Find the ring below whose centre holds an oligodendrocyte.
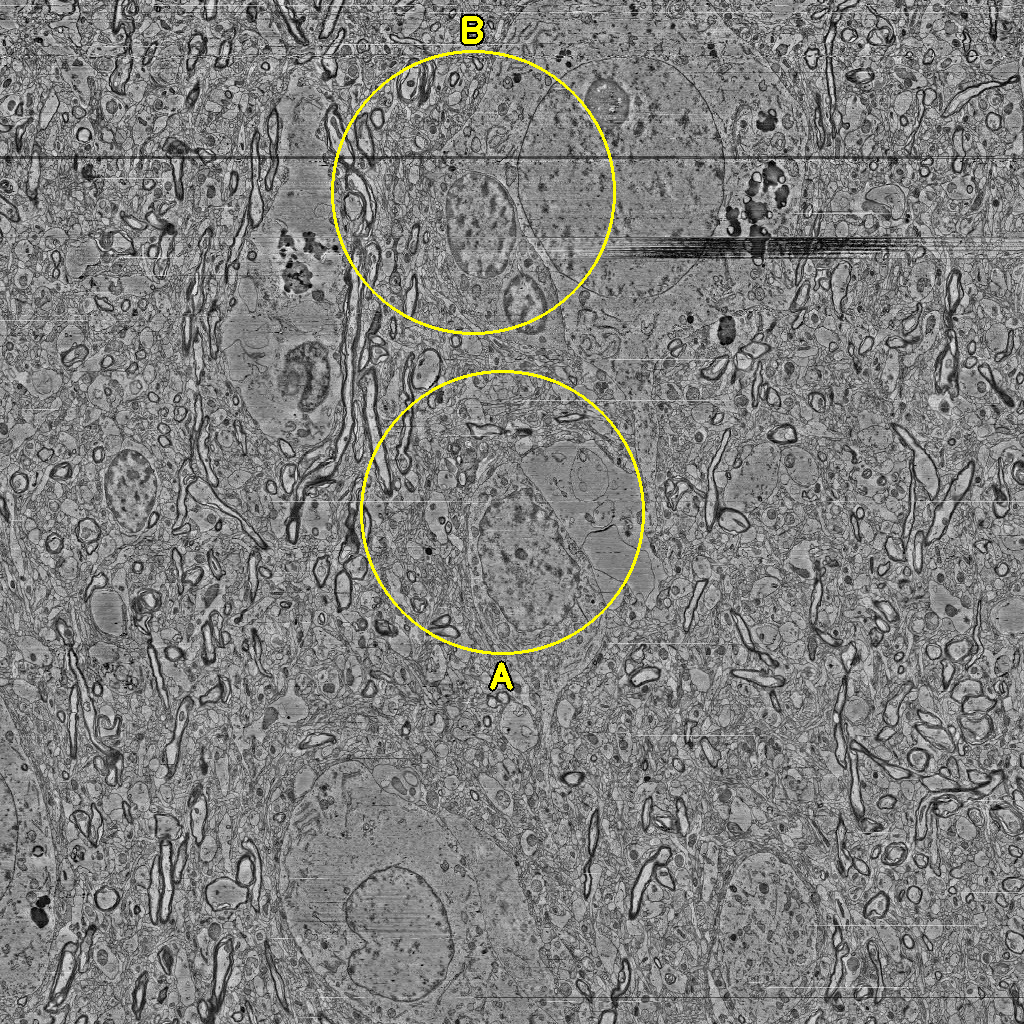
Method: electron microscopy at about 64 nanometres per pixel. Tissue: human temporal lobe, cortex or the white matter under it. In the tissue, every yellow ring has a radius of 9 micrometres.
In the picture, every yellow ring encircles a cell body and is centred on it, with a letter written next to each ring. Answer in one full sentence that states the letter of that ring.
The ring centred on the cell asked for in the picture carries the letter B.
